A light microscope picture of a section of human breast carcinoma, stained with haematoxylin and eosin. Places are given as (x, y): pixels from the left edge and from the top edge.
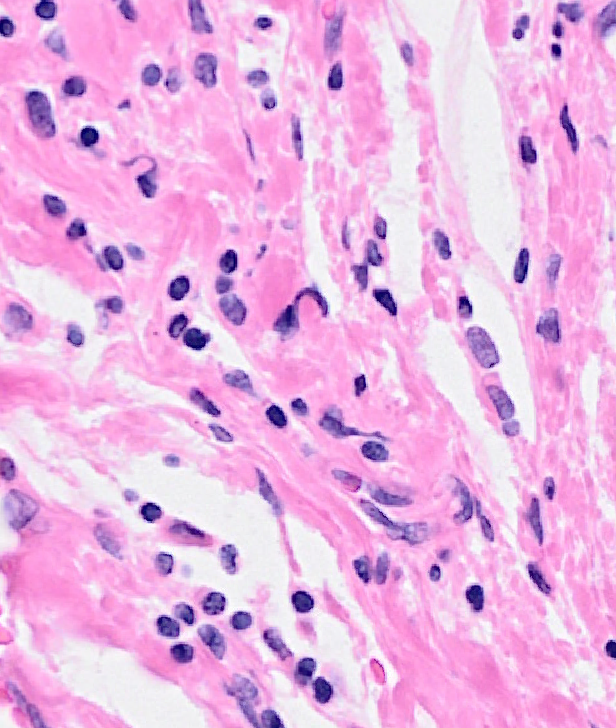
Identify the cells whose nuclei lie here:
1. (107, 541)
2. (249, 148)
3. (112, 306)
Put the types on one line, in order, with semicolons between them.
fibroblast; fibroblast; lymphocyte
